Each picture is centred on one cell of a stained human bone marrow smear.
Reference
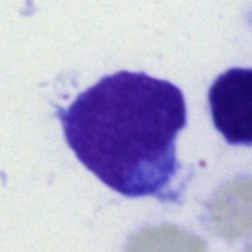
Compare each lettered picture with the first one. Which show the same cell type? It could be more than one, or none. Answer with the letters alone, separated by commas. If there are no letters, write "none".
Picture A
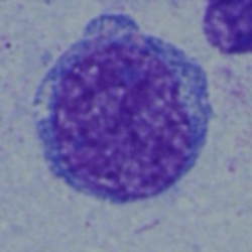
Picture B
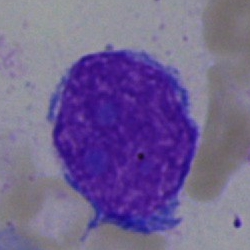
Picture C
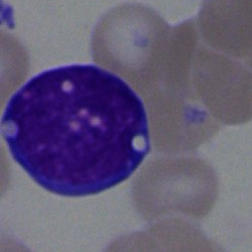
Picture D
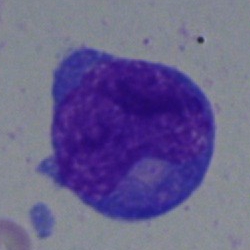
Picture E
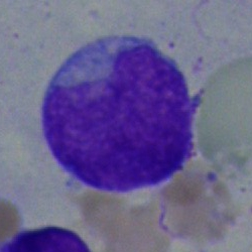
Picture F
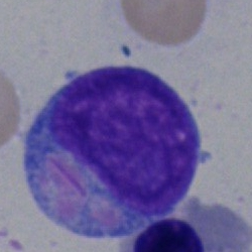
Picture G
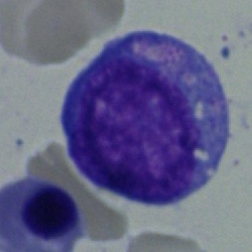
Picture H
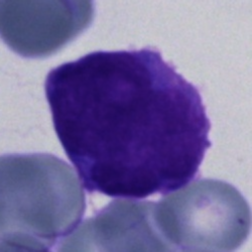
A, B, C, D, E, F, G, H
